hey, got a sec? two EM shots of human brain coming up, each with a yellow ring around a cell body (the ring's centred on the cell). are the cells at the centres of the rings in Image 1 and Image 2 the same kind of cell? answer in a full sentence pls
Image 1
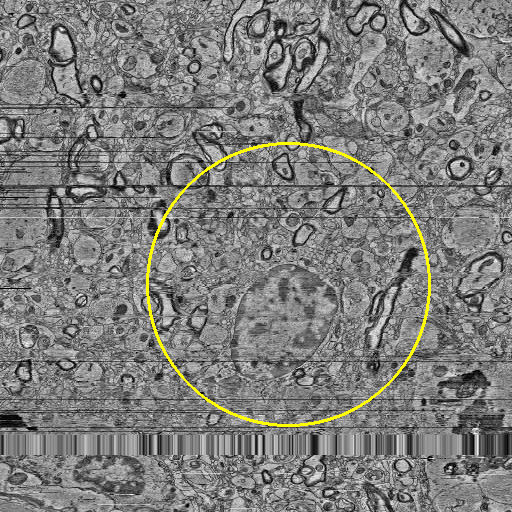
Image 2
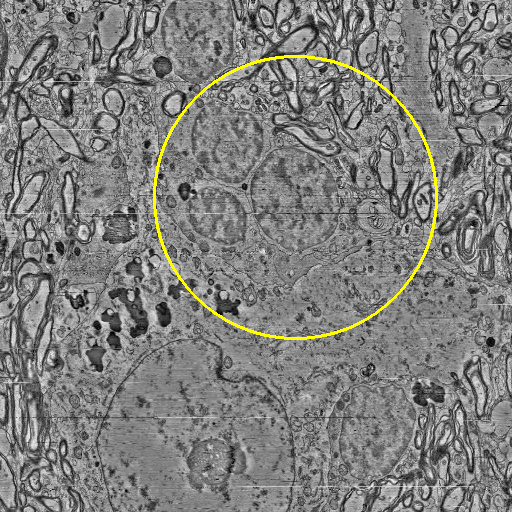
No, they are two kinds of cell.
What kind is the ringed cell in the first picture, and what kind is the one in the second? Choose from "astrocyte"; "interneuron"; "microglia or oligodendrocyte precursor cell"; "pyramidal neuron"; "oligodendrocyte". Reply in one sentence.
The first cell is a microglial cell or oligodendrocyte precursor cell; the second is an oligodendrocyte.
